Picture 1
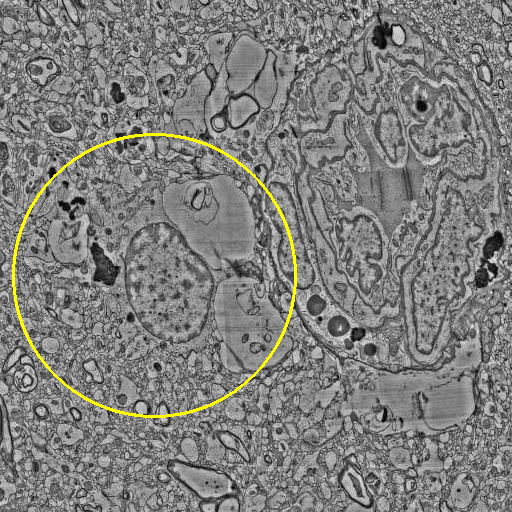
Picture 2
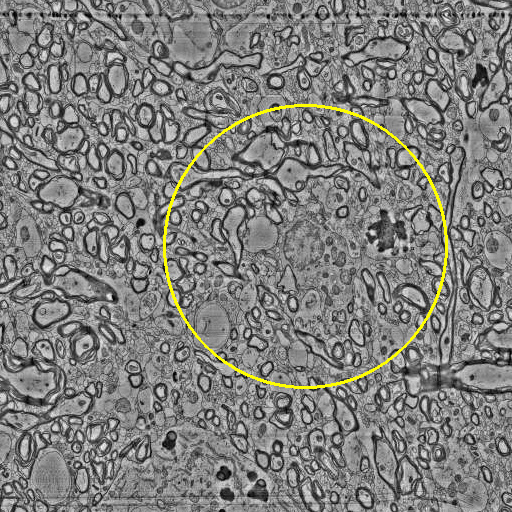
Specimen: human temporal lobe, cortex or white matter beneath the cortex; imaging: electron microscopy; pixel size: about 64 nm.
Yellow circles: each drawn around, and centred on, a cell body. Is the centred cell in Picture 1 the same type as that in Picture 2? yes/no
yes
